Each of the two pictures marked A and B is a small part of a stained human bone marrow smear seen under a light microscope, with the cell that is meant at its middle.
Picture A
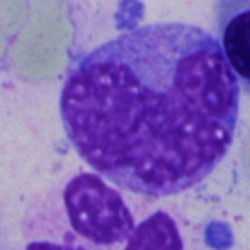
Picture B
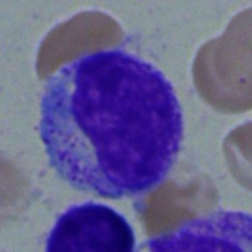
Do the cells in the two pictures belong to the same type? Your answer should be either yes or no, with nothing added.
no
